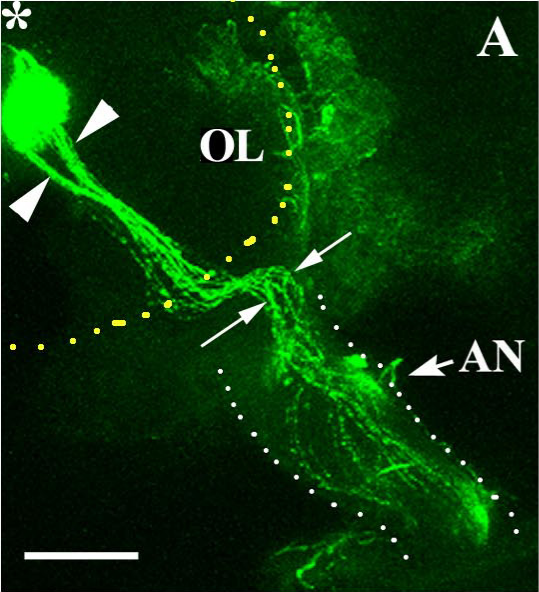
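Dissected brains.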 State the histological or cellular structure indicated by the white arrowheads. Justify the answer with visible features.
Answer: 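Two separate strands of green fibres converge on a bright green mass at the top left. The two arrowheads each point at one of the strands.
Answer: two bundles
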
